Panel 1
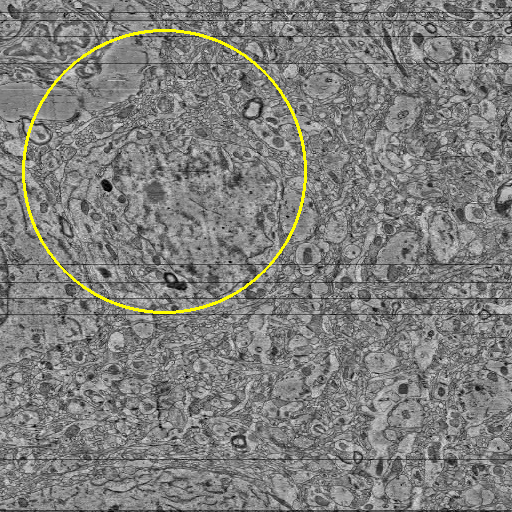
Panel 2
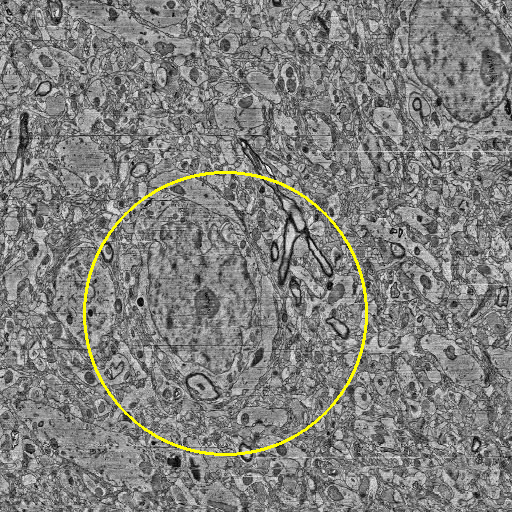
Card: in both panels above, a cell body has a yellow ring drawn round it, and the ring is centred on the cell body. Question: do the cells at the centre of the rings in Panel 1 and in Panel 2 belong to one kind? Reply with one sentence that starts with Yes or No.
Yes, the cells centred in the rings of Panel 1 and Panel 2 are one kind of cell.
